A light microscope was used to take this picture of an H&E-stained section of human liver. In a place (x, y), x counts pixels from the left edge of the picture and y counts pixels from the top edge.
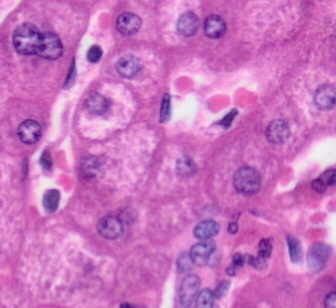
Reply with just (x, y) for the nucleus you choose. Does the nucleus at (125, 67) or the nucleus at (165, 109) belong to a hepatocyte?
(125, 67)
